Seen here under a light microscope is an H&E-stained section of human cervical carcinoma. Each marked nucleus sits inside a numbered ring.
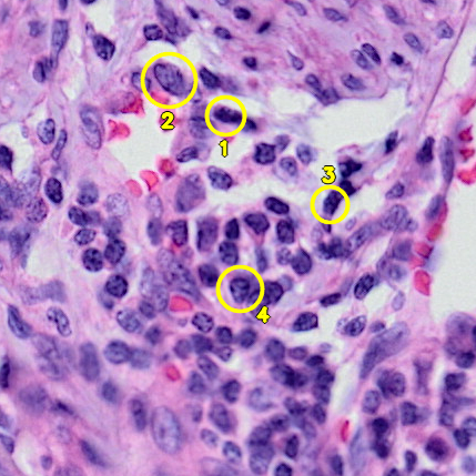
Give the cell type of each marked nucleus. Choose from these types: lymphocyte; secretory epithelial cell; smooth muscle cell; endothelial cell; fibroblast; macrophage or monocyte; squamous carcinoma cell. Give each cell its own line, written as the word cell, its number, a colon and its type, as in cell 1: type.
cell 1: lymphocyte
cell 2: endothelial cell
cell 3: lymphocyte
cell 4: lymphocyte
